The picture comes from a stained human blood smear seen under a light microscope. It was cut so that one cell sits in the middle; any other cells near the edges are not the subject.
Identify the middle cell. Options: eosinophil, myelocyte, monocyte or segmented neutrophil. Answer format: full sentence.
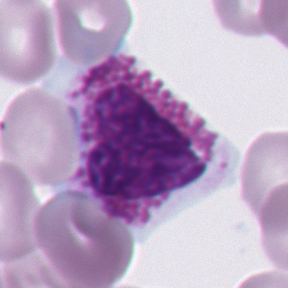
The single cell at the center of the crop is an eosinophil.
